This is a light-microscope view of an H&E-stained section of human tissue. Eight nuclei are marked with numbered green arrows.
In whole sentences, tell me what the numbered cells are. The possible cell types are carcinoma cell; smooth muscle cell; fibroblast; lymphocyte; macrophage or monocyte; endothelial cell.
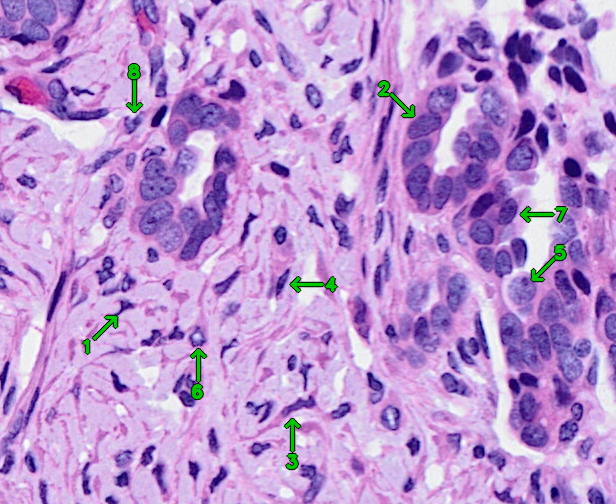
Cell 1 is a fibroblast, cell 2 is a carcinoma cell, cell 3 is a fibroblast, cell 4 is a fibroblast, cell 5 is a carcinoma cell, cell 6 is a fibroblast, cell 7 is a carcinoma cell and cell 8 is a fibroblast.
